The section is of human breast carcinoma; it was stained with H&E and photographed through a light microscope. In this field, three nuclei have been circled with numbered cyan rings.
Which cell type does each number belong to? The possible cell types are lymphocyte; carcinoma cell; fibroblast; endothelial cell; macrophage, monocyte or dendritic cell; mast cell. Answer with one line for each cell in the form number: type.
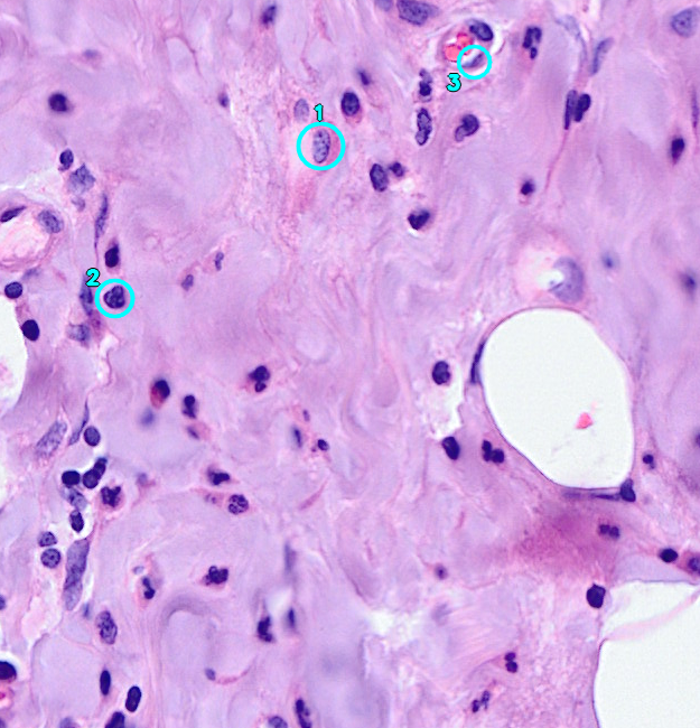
1: mast cell
2: lymphocyte
3: endothelial cell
